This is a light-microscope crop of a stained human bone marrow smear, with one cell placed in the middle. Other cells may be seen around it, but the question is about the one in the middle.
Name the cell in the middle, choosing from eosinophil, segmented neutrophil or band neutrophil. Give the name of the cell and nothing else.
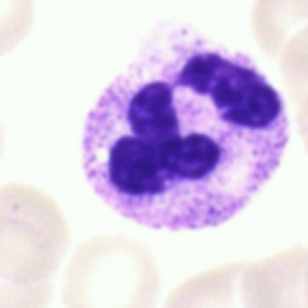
segmented neutrophil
